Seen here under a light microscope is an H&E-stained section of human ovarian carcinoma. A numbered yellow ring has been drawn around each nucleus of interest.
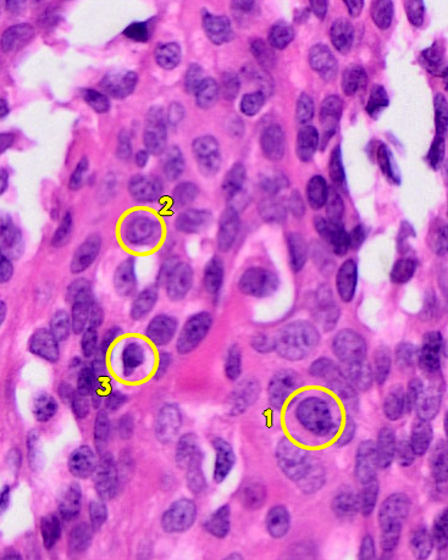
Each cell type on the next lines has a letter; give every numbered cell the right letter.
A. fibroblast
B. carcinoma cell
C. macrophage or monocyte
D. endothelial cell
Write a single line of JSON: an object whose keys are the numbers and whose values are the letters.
{"1": "B", "2": "B", "3": "C"}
